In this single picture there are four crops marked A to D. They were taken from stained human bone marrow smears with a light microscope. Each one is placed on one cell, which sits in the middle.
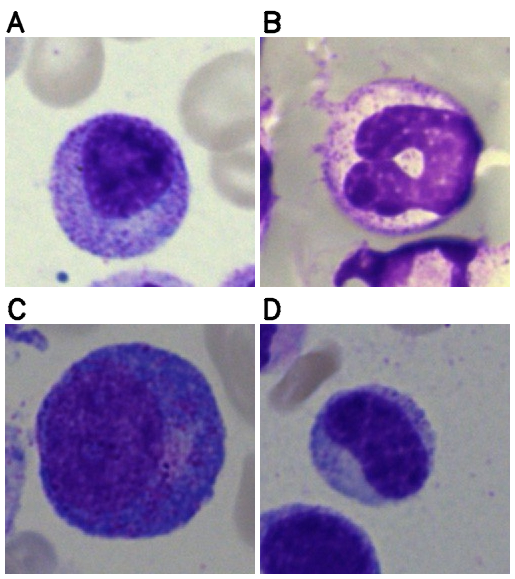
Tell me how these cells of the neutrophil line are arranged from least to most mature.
C, A, D, B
